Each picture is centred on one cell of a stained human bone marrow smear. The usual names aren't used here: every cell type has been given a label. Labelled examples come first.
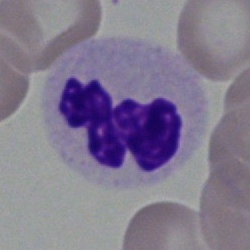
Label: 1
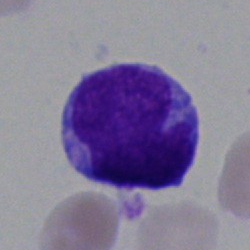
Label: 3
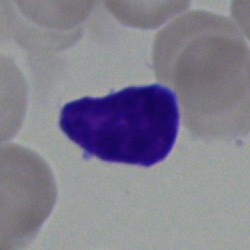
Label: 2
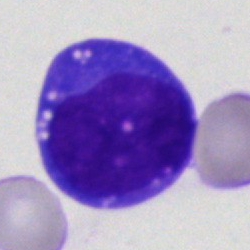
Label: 3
